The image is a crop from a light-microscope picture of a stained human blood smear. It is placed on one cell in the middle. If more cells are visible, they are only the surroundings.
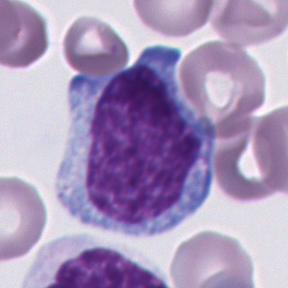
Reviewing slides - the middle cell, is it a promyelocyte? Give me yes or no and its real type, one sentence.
Yes, the cell sitting in the middle of this smear crop is a promyelocyte.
